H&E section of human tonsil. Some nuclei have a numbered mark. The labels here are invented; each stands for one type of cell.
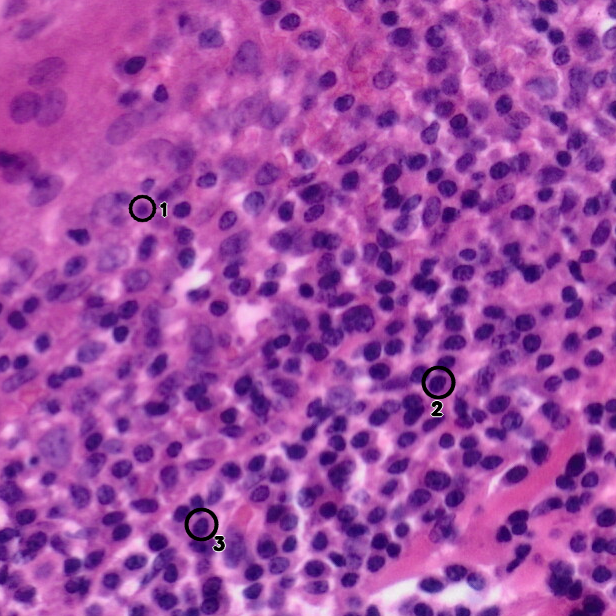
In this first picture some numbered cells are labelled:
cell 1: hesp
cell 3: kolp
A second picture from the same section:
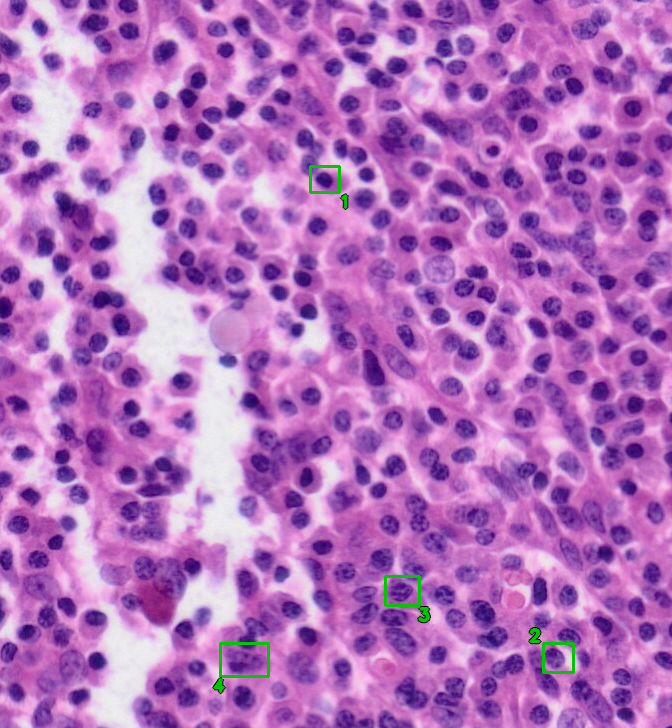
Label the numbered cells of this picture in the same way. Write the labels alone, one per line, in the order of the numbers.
kolp
kolp
kolp
hesp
